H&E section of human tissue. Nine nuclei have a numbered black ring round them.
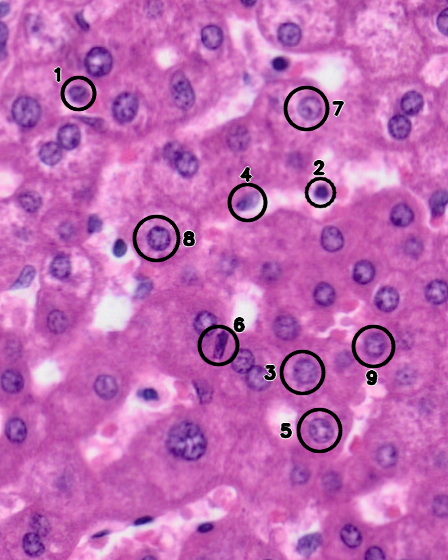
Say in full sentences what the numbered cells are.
Cell 1 is a Kupffer cell. Cell 2 is a lymphocyte. Cells 3, 5, 7, 8 and 9 are hepatocytes. Cell 4 is an endothelial cell. Cell 6 is a fibroblast or stellate cell.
